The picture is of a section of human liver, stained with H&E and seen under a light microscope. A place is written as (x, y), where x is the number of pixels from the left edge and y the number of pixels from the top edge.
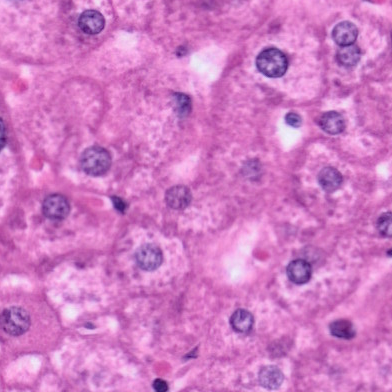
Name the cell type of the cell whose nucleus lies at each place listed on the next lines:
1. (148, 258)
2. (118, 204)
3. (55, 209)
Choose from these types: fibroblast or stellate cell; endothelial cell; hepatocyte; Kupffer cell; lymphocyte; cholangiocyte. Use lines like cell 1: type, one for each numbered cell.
cell 1: hepatocyte
cell 2: fibroblast or stellate cell
cell 3: hepatocyte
